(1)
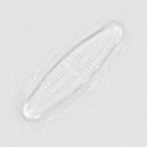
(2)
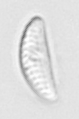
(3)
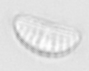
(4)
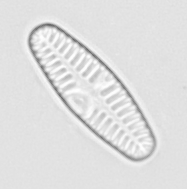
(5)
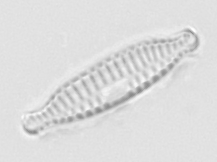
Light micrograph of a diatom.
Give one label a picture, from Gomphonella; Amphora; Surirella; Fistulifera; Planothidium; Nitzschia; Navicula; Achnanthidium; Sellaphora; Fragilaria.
1. Achnanthidium
2. Amphora
3. Amphora
4. Planothidium
5. Fragilaria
